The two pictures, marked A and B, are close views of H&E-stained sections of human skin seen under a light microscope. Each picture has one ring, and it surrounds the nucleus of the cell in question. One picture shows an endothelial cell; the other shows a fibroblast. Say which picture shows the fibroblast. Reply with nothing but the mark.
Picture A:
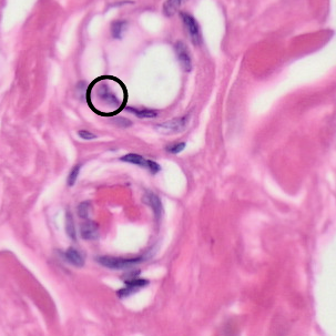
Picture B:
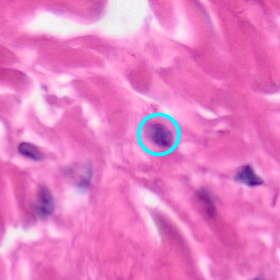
B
